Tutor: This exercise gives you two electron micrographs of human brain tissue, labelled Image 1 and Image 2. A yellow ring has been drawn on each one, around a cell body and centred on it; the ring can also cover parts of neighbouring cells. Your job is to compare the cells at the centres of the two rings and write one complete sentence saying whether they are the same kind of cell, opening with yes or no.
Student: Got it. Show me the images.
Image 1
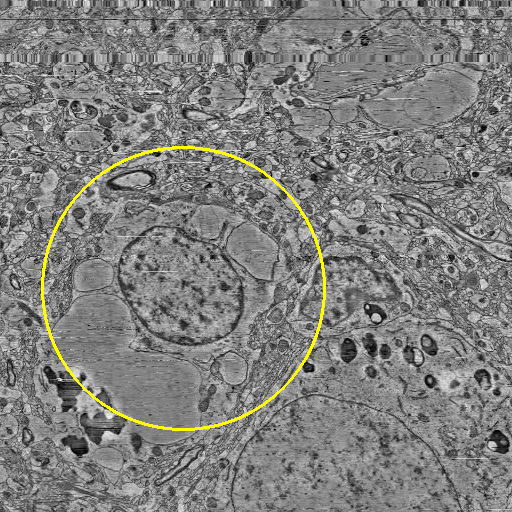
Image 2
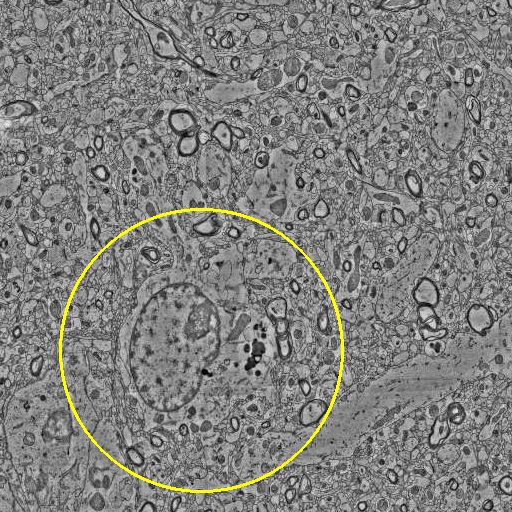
Yes, the two cells belong to the same kind.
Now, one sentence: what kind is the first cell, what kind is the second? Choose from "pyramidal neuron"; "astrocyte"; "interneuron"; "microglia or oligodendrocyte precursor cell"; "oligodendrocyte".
In each of the two pictures, the ringed cell is an astrocyte.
